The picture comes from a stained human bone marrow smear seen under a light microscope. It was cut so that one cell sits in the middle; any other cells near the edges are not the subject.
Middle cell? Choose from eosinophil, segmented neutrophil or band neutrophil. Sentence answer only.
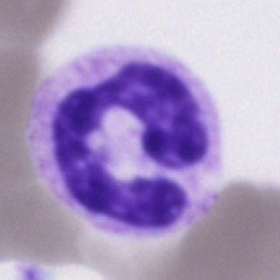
Positioned in the middle of the crop is a segmented neutrophil.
